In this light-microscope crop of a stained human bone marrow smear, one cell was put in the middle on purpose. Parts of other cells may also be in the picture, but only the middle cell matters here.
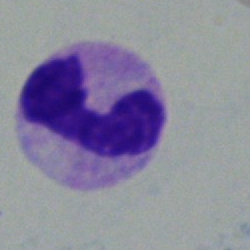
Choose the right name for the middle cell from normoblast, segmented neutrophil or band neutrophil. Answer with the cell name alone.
band neutrophil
